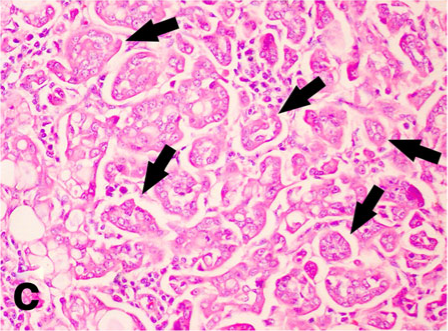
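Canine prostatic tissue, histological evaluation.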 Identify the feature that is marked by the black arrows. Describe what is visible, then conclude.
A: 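The arrows point to small rounded glands of tumour cells. The small glands are separated by pale clefts and stroma.
Answer: small acinar pattern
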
